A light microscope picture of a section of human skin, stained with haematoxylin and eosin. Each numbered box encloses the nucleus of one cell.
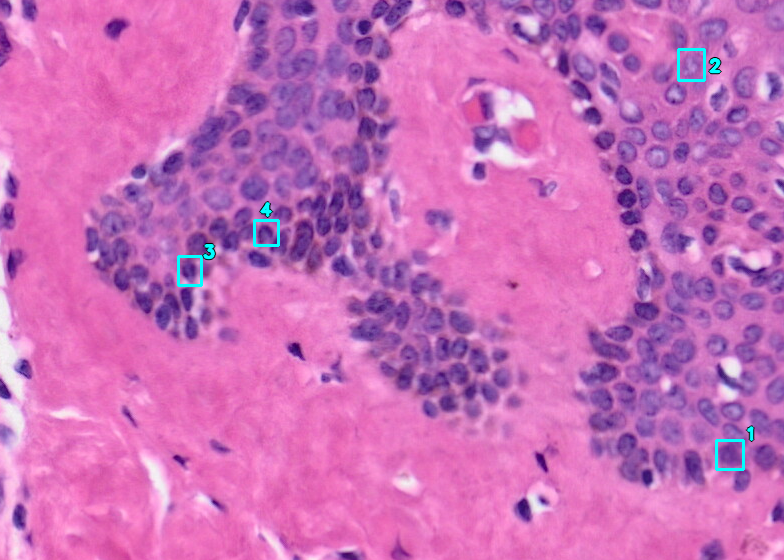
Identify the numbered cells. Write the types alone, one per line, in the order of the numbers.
basal keratinocyte
suprabasal keratinocyte
basal keratinocyte
basal keratinocyte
